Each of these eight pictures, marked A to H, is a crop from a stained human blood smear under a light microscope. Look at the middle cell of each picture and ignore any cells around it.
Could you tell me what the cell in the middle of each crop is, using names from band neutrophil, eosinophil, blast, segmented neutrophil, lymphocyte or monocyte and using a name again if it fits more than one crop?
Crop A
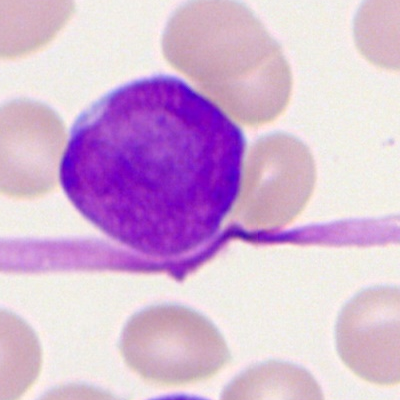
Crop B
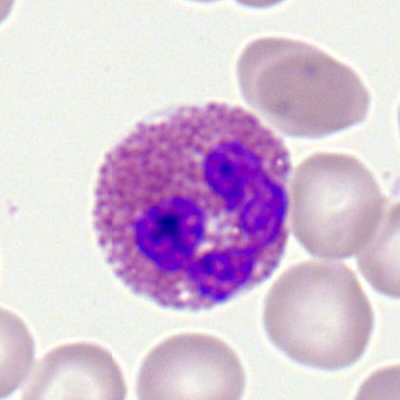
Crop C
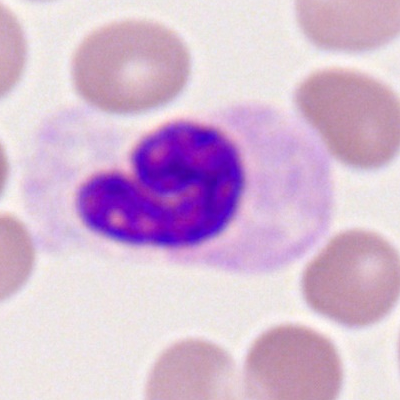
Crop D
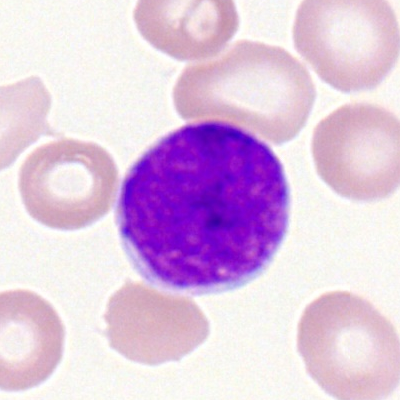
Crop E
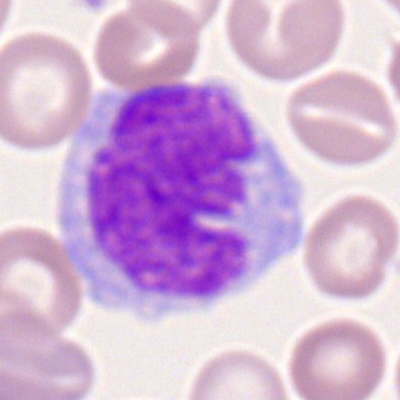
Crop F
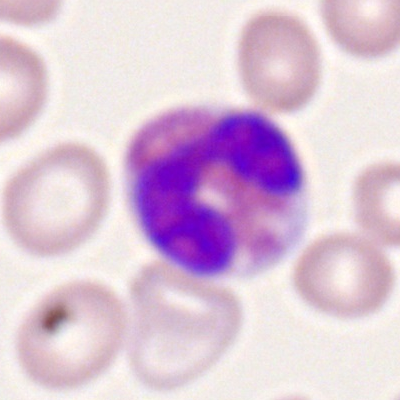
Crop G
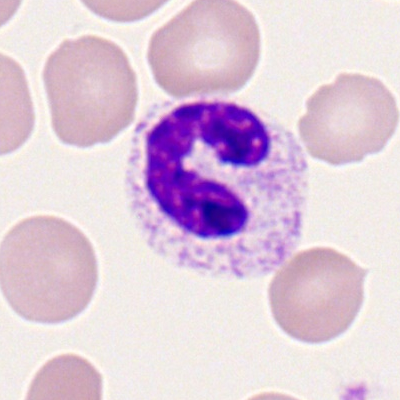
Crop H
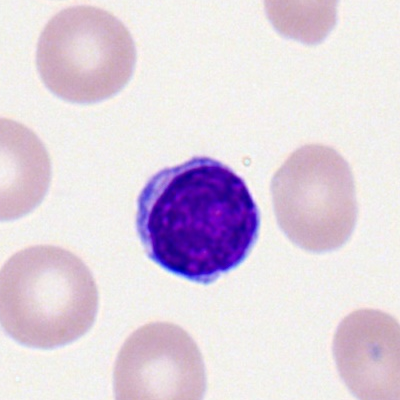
A: blast
B: eosinophil
C: band neutrophil
D: blast
E: monocyte
F: eosinophil
G: band neutrophil
H: lymphocyte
